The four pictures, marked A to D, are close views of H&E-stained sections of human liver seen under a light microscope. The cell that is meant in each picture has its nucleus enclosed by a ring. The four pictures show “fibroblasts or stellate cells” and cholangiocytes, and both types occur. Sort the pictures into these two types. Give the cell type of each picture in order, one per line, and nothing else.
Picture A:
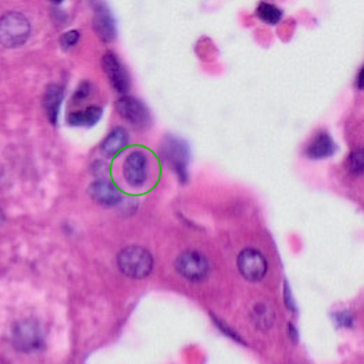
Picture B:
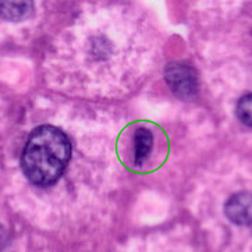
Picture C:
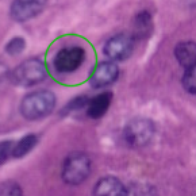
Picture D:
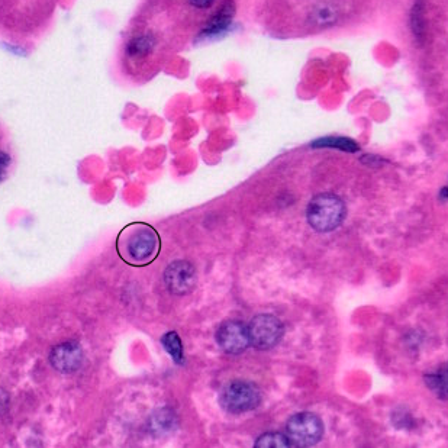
cholangiocyte
fibroblast or stellate cell
cholangiocyte
cholangiocyte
